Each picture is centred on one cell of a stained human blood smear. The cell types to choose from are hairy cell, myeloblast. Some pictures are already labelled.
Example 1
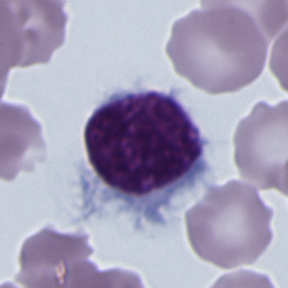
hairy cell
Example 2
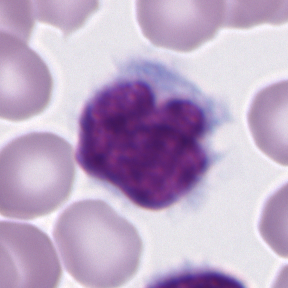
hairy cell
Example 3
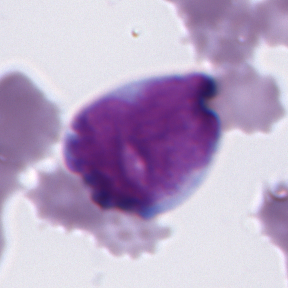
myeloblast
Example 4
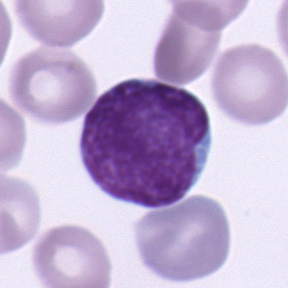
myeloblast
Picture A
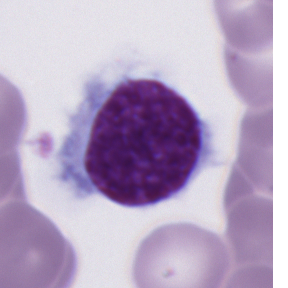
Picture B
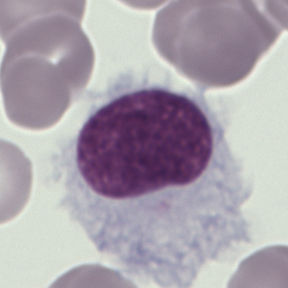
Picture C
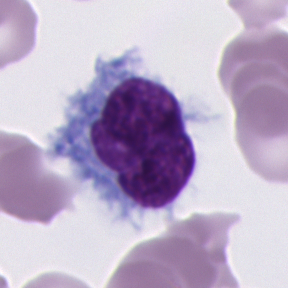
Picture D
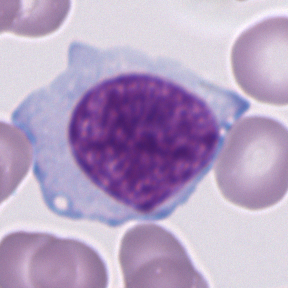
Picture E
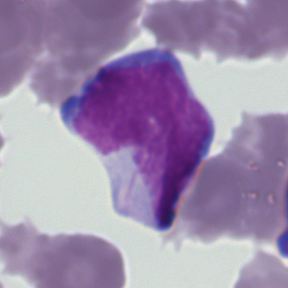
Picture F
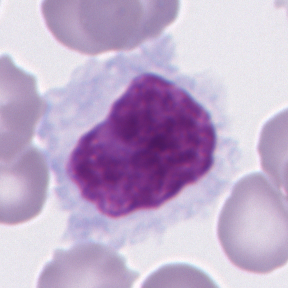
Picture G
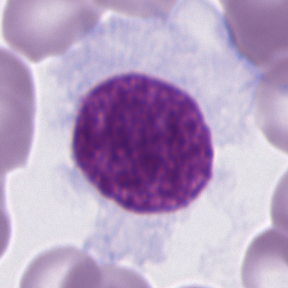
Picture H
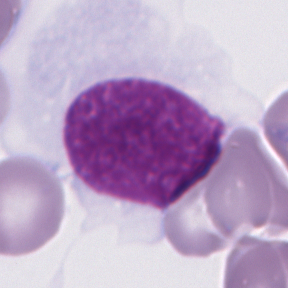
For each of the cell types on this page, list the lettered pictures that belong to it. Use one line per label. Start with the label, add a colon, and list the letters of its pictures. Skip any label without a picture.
hairy cell: A, B, C, F, G, H
myeloblast: D, E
